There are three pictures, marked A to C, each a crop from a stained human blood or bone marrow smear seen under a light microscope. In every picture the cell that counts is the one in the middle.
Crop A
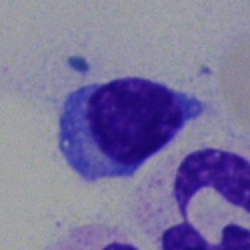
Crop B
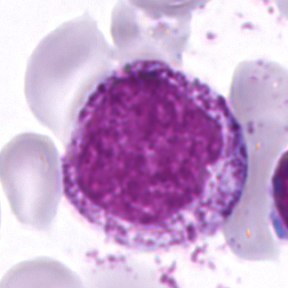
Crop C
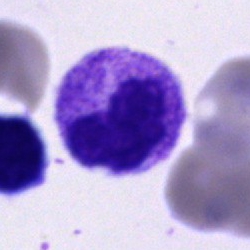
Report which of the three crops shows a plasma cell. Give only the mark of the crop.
A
